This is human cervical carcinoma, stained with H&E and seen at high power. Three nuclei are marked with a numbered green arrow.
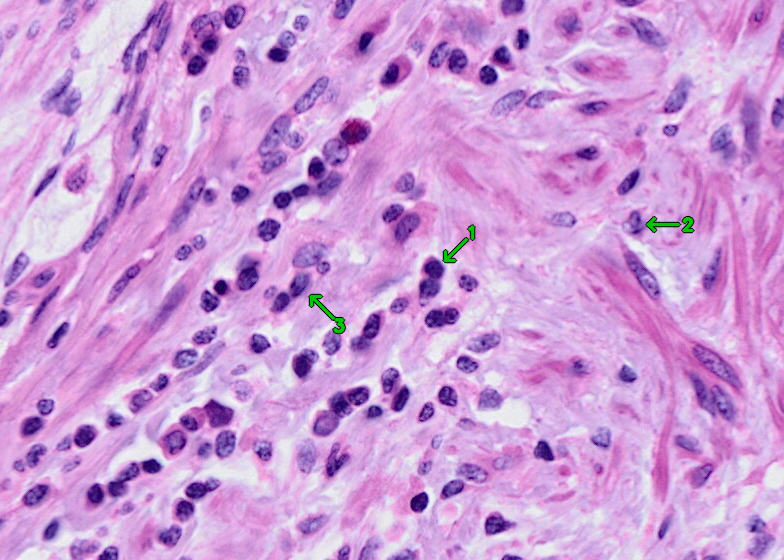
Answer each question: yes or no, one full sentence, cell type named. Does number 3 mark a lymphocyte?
Yes, among the marked cells, the one with number 3 is a lymphocyte.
